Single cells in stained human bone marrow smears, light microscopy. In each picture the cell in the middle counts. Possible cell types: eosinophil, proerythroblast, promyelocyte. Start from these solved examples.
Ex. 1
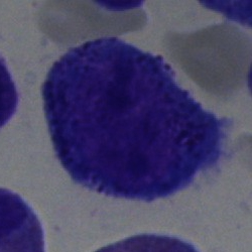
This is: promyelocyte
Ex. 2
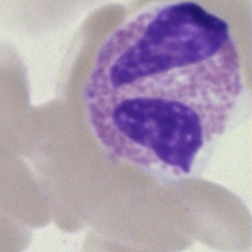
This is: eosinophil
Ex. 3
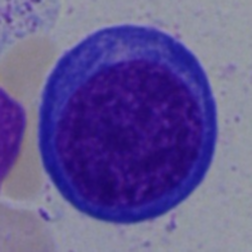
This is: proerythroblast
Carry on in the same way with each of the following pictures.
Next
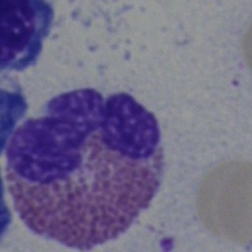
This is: eosinophil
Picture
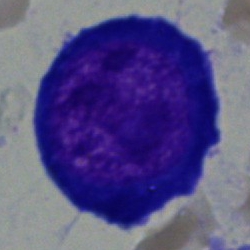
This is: proerythroblast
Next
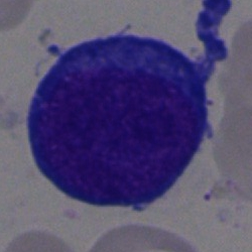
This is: proerythroblast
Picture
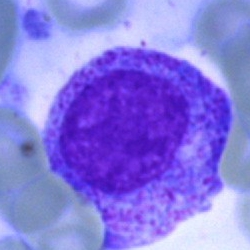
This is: promyelocyte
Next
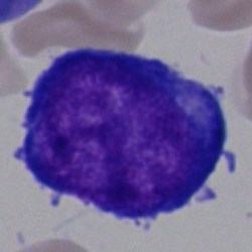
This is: proerythroblast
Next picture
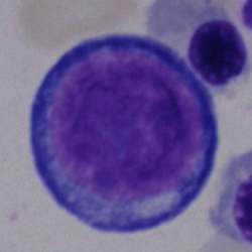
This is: proerythroblast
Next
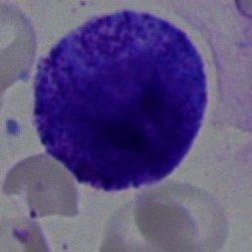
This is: promyelocyte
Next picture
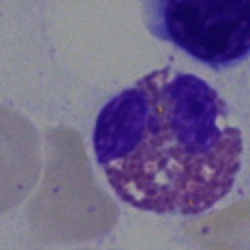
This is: eosinophil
